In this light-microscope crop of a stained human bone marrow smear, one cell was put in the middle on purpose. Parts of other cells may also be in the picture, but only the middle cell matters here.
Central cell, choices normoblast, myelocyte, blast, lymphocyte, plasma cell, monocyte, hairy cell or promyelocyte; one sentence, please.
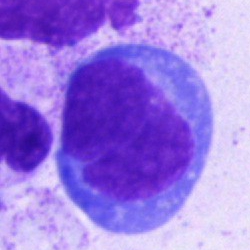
Present in the middle of the crop is a blast.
